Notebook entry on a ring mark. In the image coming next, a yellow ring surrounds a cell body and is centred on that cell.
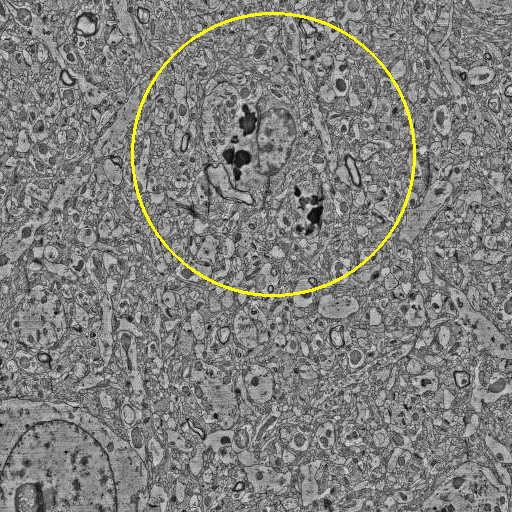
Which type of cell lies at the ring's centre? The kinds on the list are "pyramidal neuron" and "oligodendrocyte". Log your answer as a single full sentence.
Centred in the yellow ring is an oligodendrocyte, the cell recorded for this image.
